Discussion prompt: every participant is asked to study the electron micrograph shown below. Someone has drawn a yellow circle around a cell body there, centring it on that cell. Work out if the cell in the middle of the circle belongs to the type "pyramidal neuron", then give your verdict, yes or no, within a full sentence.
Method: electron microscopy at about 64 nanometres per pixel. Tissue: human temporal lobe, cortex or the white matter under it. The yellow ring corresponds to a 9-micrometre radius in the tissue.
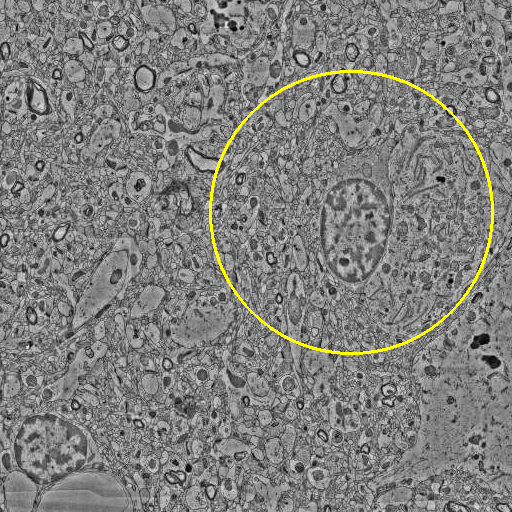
No, my verdict is that the cell in the circle's centre is of a different type.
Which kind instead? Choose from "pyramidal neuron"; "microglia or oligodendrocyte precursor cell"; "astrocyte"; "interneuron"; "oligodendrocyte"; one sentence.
This picture has an oligodendrocyte at the centre of its ring.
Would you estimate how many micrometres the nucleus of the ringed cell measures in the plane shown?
Approximately 6 micrometres long and 4 micrometres wide, in this plane.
